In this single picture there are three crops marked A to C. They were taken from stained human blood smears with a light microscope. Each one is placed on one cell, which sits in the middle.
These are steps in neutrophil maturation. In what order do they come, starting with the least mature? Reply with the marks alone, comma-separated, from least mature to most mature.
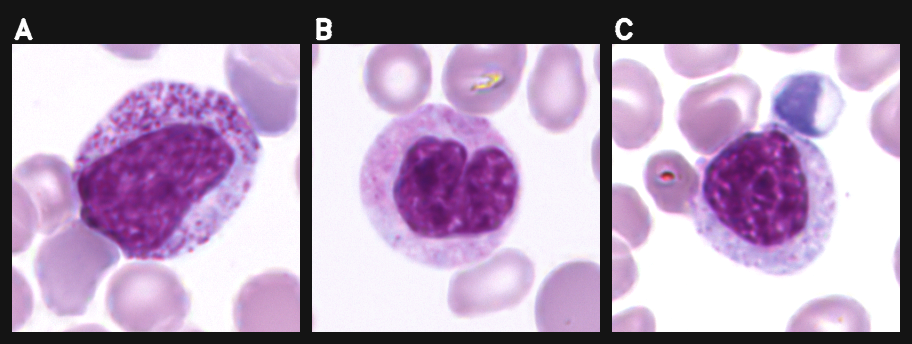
A, C, B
